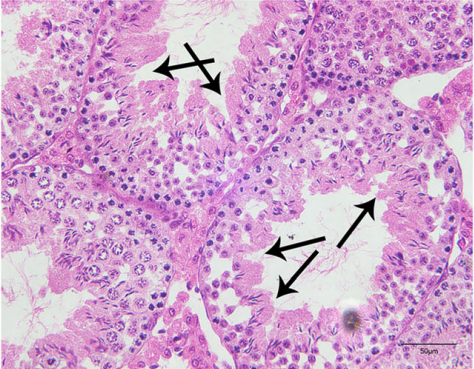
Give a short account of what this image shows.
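Cross-sections of seminiferous tubules of the testis with seminiferous epithelium of spermatogenetic cells, showing a loosened arrangement. Thin pink tubule walls with flattened nuclei enclose layers of round cells with purple-blue nuclei near the base. Toward the lumen, the epithelium is less compact: cells are separated by clear gaps, and pink-staining cell groups project irregularly or appear detached into the open lumen. Lumina look wider and contain sparse pale pink material rather than dense radiating bundles. The inner layers look ragged compared with the orderly stacking of a normal epithelium.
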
